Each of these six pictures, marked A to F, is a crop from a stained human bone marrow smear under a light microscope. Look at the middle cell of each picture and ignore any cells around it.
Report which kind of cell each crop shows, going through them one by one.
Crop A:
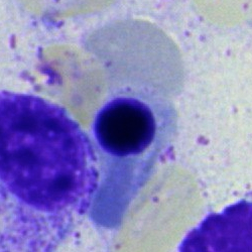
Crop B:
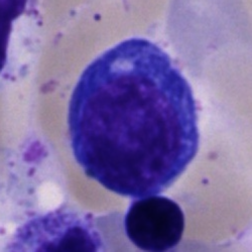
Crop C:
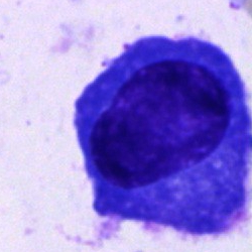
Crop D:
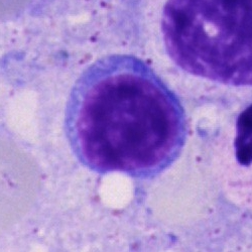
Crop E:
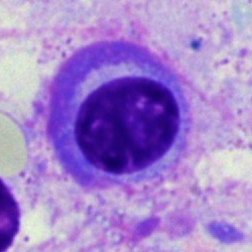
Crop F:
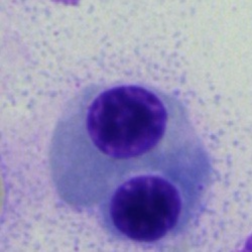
A: normoblast
B: normoblast
C: plasma cell
D: lymphocyte
E: plasma cell
F: normoblast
